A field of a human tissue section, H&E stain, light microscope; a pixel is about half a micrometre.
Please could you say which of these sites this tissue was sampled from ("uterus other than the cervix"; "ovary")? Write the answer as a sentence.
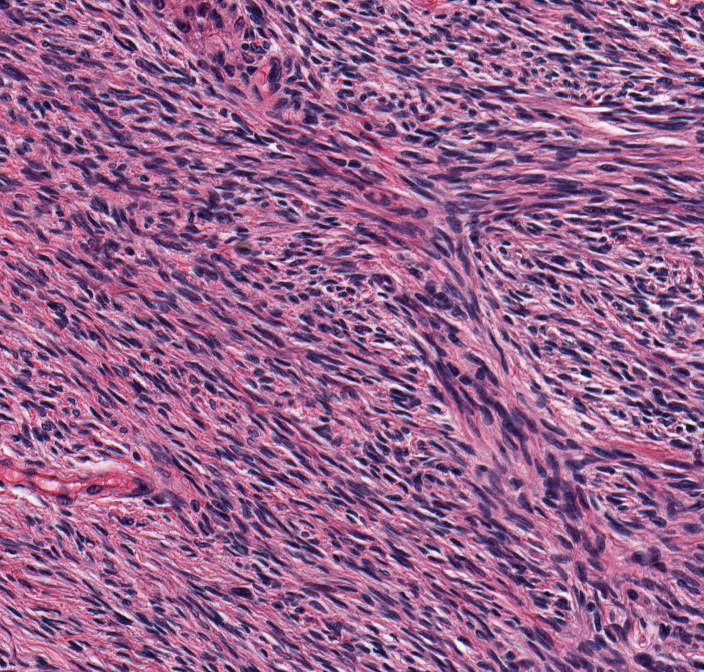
The site this tissue was sampled from is the ovary.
